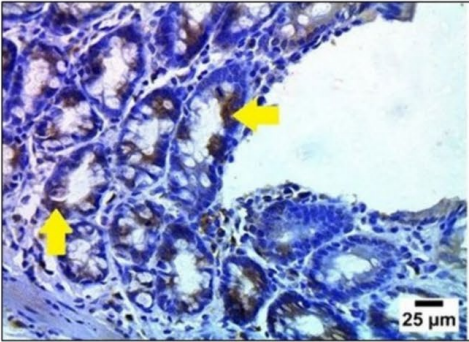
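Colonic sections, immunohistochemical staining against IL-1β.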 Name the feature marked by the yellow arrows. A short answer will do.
intestinal glands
